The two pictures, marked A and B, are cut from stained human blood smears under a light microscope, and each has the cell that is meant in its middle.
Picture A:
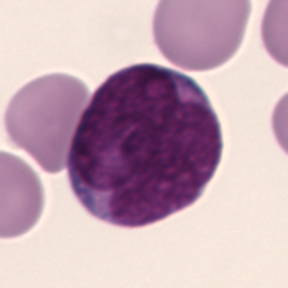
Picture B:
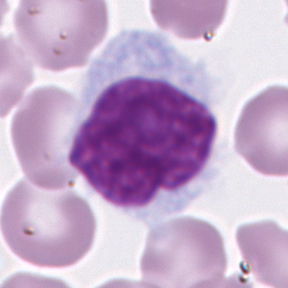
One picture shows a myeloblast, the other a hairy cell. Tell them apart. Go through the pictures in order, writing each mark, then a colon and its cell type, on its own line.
A: myeloblast
B: hairy cell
